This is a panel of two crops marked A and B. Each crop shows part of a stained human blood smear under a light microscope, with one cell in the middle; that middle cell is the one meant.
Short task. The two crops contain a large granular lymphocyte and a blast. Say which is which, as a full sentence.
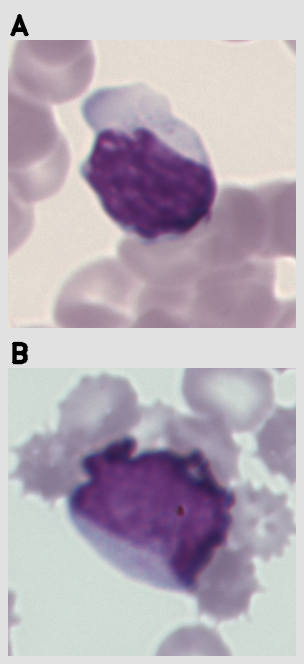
Crop A is designated a large granular lymphocyte, and crop B is designated a blast.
